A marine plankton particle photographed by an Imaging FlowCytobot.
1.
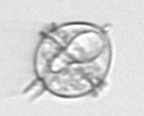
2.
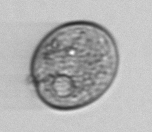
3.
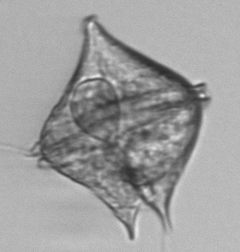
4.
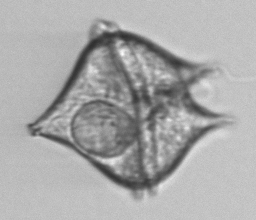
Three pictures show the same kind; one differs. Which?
Picture 2: Prorocentrum, while the others are Protoperidinium.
